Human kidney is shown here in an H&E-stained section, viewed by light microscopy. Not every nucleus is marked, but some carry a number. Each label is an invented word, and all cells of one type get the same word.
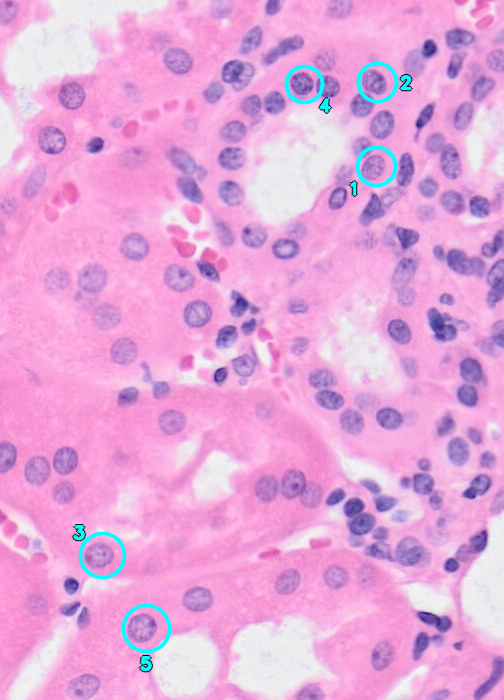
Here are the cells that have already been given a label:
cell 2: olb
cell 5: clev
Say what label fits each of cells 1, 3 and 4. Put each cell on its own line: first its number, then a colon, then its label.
1: olb
3: clev
4: olb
